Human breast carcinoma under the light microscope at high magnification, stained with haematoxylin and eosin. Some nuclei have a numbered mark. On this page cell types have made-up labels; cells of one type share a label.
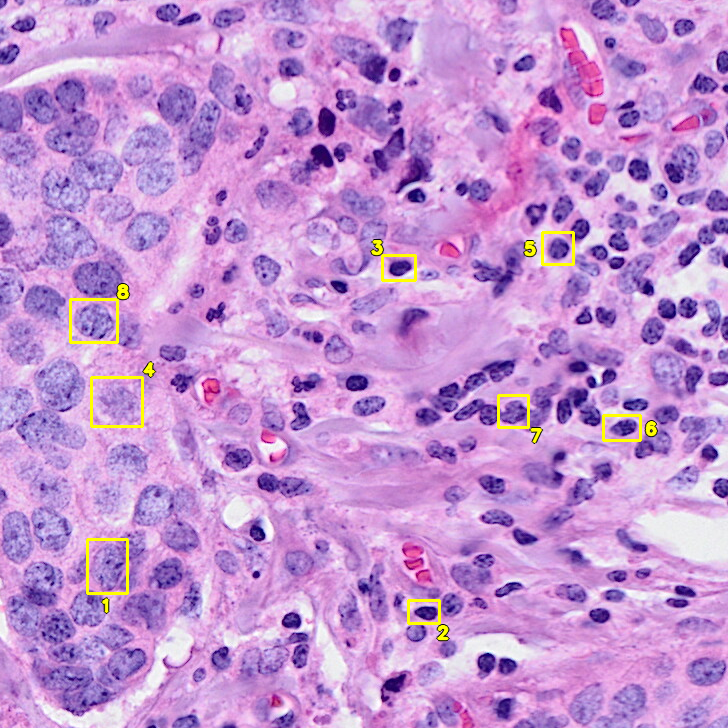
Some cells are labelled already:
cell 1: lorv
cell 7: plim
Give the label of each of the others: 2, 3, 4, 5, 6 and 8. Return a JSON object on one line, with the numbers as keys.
{"2": "plim", "3": "plim", "4": "lorv", "5": "plim", "6": "plim", "8": "lorv"}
